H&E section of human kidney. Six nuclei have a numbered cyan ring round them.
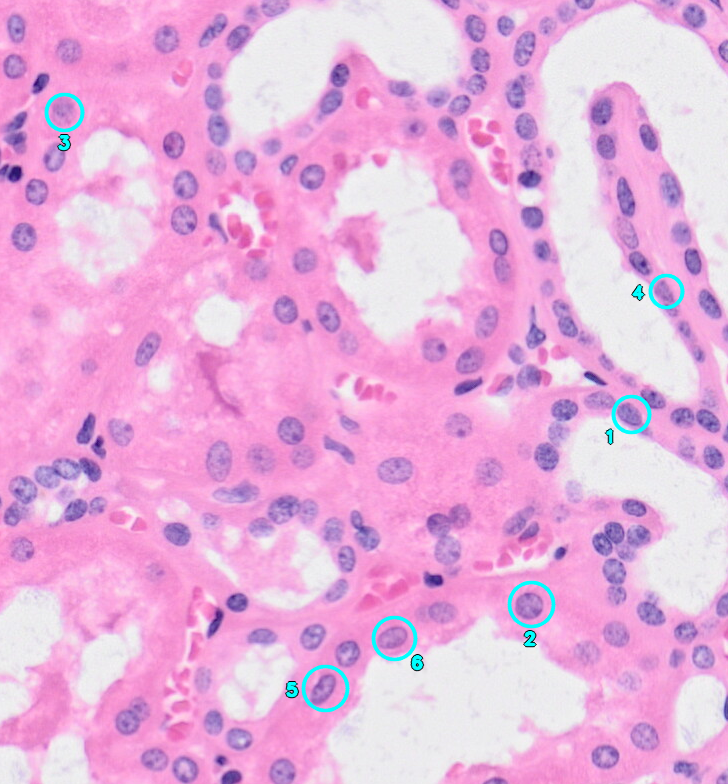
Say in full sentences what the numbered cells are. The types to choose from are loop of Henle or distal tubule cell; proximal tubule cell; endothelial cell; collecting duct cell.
Cells 1 and 4 are collecting duct cells. Cells 2, 3, 5 and 6 are proximal tubule cells.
